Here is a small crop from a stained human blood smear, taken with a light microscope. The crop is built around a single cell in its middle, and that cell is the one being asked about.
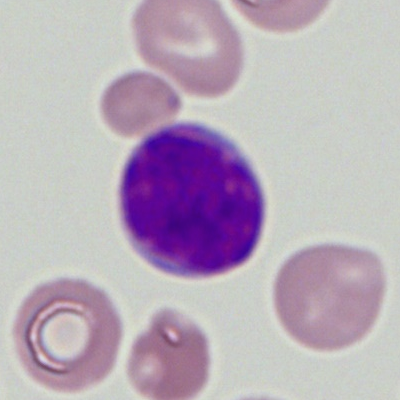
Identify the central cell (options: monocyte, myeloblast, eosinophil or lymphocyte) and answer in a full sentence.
The center cell of this crop is a lymphocyte.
